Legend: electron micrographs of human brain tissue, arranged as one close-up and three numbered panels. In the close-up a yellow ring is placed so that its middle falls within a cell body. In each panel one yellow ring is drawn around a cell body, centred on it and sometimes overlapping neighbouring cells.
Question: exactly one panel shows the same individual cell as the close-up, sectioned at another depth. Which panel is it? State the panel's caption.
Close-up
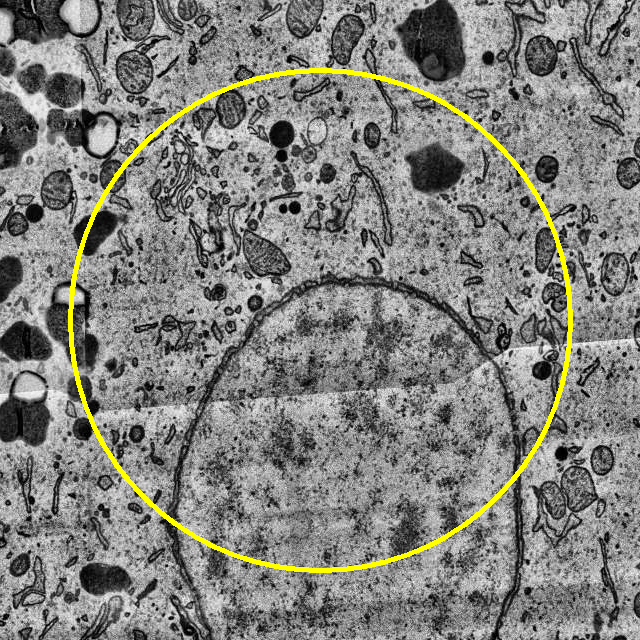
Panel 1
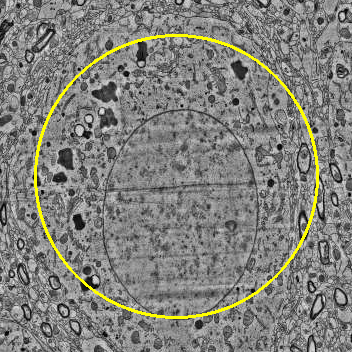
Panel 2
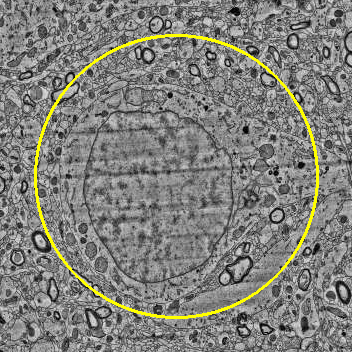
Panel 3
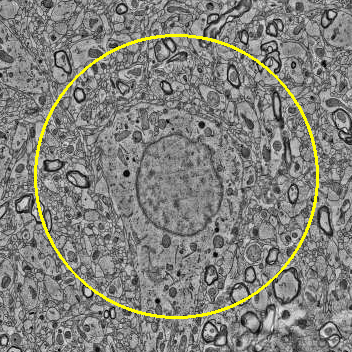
Panel 1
